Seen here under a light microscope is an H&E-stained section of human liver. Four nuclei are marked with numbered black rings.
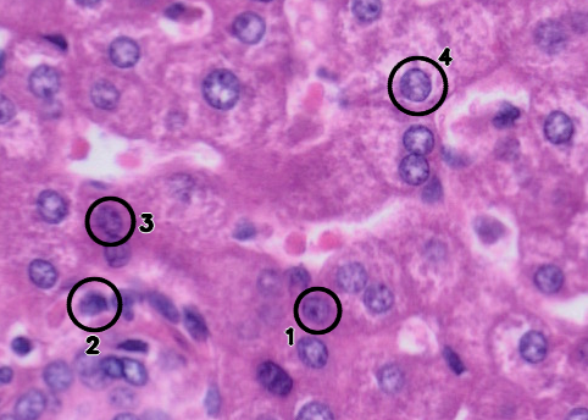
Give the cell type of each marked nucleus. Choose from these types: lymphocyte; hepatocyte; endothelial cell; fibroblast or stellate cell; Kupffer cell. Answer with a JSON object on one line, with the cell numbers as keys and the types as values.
{"1": "hepatocyte", "2": "fibroblast or stellate cell", "3": "hepatocyte", "4": "hepatocyte"}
